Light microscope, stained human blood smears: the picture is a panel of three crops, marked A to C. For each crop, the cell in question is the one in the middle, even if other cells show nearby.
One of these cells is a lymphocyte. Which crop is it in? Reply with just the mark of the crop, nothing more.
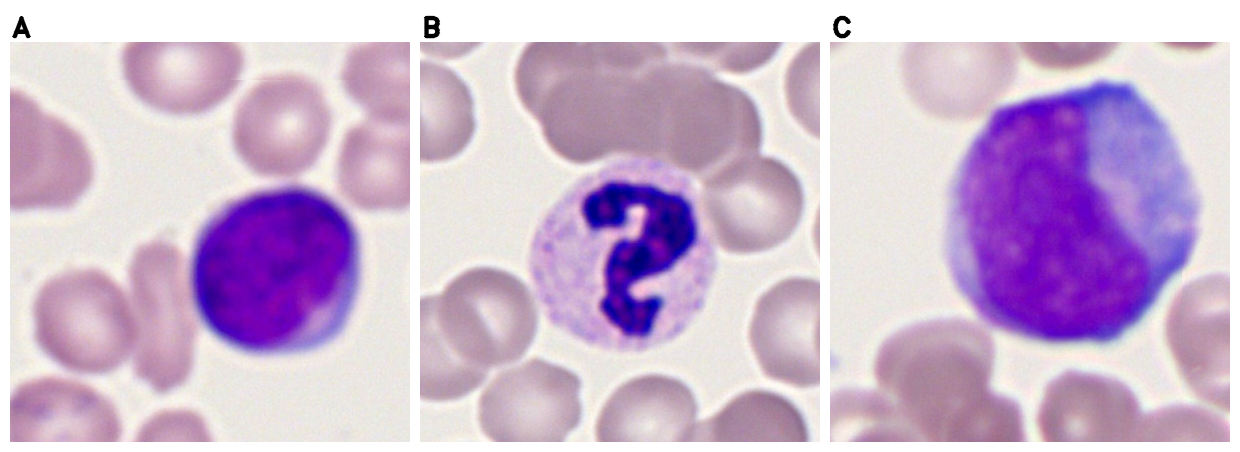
A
